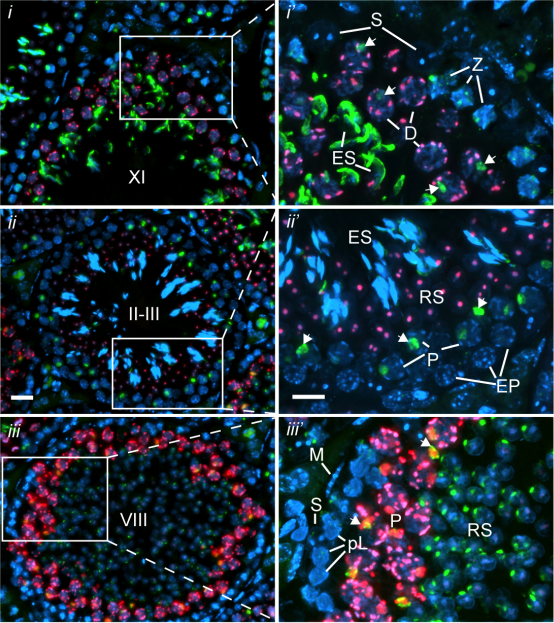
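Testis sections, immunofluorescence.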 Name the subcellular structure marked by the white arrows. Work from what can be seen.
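Sex bodies. Arrows point to compact, bright green patches inside large round nuclei. Each patch lies at one side of its nucleus. Only one such patch per nucleus.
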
